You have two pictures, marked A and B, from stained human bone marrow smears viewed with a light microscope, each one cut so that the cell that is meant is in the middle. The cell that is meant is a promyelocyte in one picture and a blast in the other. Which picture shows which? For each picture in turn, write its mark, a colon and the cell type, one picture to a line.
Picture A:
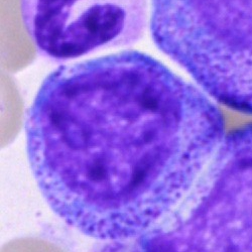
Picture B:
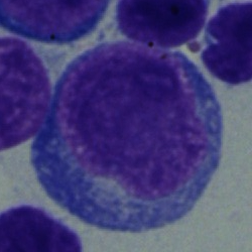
A: promyelocyte
B: blast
